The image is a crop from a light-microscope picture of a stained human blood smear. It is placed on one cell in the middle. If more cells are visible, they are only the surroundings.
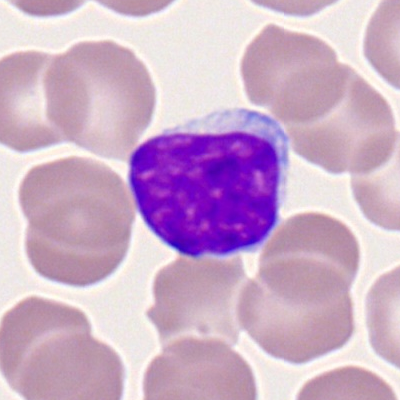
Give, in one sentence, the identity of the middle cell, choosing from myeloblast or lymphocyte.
The cell featured at the centre of this crop is a lymphocyte.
